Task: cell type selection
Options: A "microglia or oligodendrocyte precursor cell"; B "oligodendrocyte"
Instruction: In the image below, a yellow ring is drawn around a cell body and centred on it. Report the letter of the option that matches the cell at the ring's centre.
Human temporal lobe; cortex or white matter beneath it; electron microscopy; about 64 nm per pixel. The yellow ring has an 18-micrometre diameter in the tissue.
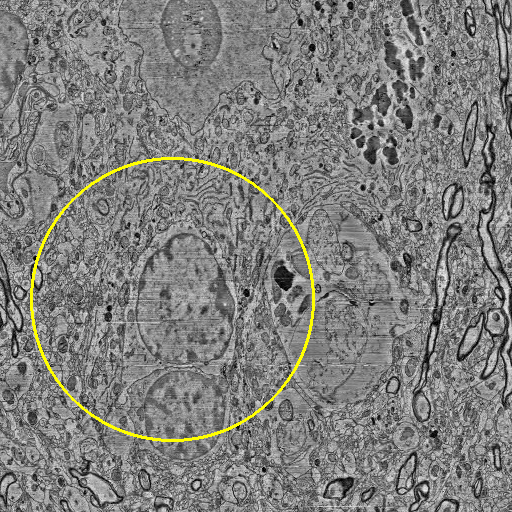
A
